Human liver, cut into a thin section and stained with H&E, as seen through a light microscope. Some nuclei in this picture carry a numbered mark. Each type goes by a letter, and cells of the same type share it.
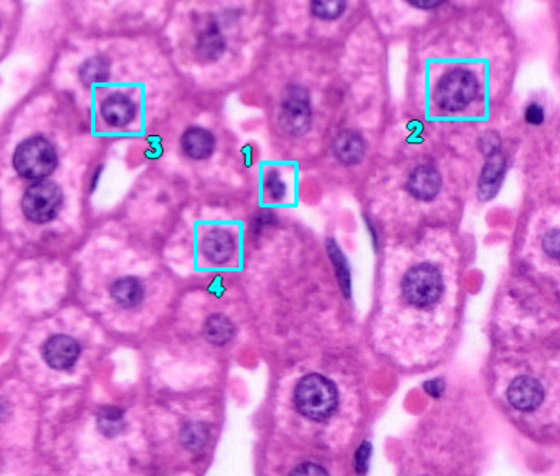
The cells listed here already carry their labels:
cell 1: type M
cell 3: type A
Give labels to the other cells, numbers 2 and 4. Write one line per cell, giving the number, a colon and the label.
2: type A
4: type A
